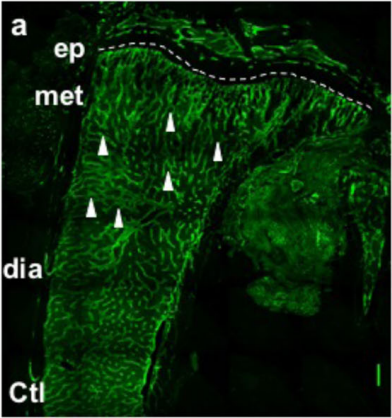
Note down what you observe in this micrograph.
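This longitudinal section of the upper end of a long bone shows the bone marrow vasculature outlined in green. Beneath a dashed line marking the growth plate, the vessels form a dense network of elongated, branching channels that run toward the growth plate. Farther down the shaft, the vessel profiles become a finer meshwork of shorter, more rounded and reticular outlines.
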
